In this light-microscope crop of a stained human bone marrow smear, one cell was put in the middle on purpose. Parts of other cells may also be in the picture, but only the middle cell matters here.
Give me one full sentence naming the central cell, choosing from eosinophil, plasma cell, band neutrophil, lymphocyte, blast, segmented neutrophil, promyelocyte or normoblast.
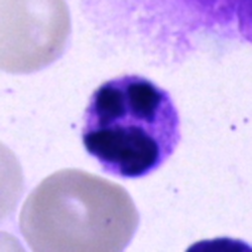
The cell of interest, located centrally, is a segmented neutrophil.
